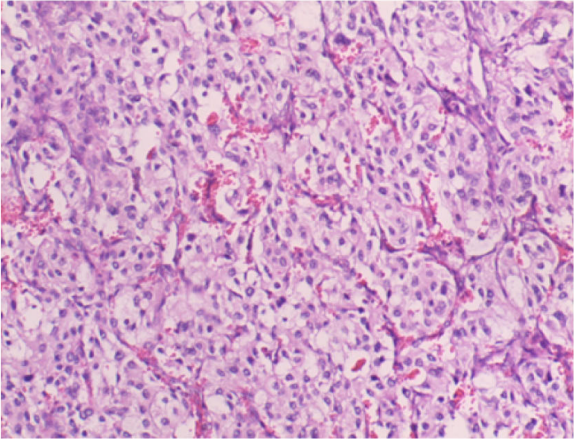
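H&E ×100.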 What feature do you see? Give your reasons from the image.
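Tumor cells are grouped in rounded nests. Thin vascular septa with red blood cells separate the nests.
Conclusion: nest-like (zell ballen) glandular pattern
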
